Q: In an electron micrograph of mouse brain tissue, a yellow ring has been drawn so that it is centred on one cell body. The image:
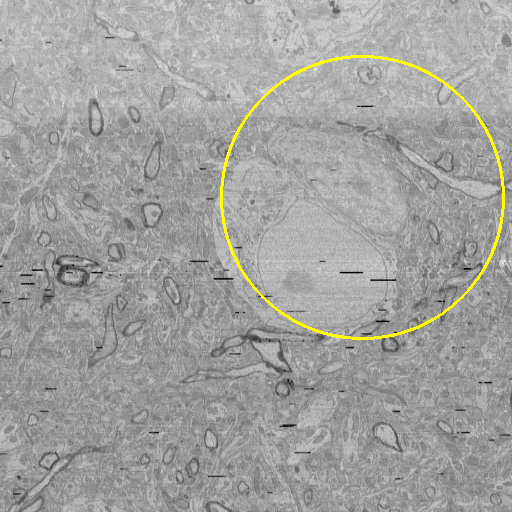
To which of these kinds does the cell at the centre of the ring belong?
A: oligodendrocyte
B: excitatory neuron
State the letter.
A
